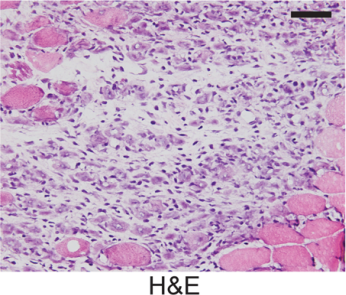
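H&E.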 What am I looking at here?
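Skeletal muscle in cross section in which most of the field is taken up by many small, pale purple-staining regenerating fiber profiles scattered among numerous mononuclear cells with dark purple nuclei. A few large, homogeneous pink fibers lie at the left and lower edges of the field, far larger than the small profiles. The tissue between fibers is loose and cellular, without the tightly packed polygonal arrangement of normal muscle.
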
